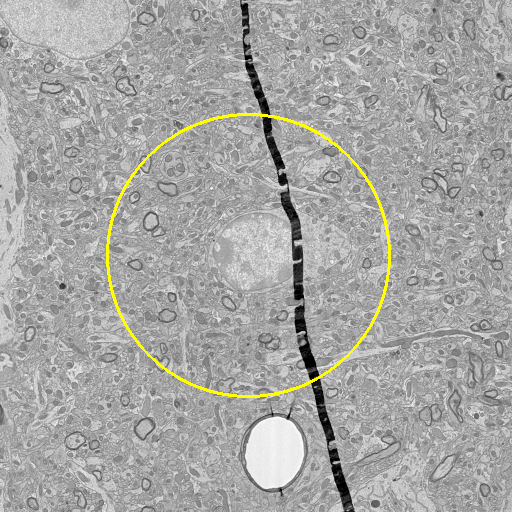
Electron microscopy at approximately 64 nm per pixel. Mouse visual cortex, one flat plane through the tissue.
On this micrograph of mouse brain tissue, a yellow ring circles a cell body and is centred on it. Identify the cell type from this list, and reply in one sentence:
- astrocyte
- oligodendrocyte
The cell at the centre is an oligodendrocyte.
